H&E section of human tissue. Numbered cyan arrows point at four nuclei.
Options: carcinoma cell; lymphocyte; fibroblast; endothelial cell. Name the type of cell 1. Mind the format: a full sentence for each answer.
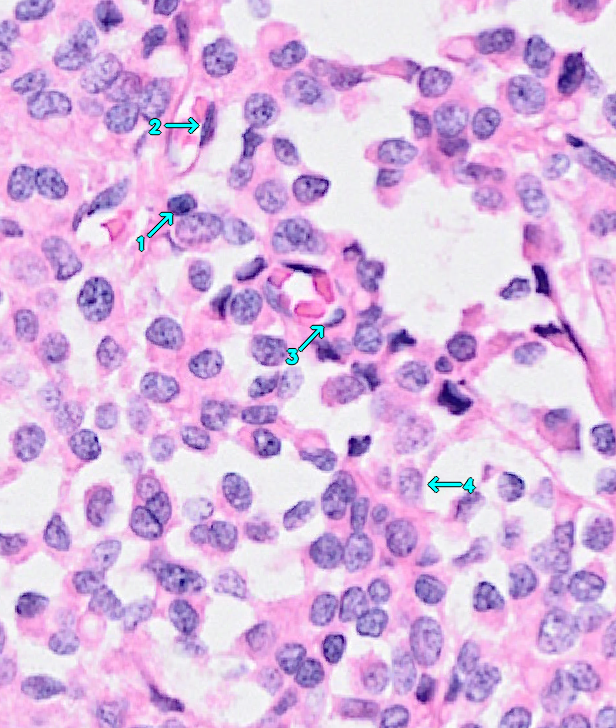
The cell that bears the number 1 is a lymphocyte.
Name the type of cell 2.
It is as an endothelial cell that the cell numbered 2 is identified.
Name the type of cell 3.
The marked cell with the number 3 is recognised as an endothelial cell.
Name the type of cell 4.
The numbered cell 4 in this field is a carcinoma cell.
